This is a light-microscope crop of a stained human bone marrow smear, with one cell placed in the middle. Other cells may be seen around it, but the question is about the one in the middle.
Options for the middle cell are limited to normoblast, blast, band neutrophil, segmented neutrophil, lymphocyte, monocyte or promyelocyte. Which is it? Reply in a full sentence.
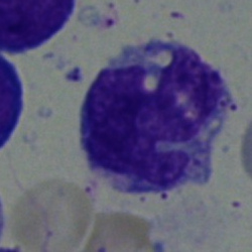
As for the central cell, it is a monocyte.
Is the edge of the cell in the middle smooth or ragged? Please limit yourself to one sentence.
The outline of this cell is not smooth but ragged or drawn out into projections.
